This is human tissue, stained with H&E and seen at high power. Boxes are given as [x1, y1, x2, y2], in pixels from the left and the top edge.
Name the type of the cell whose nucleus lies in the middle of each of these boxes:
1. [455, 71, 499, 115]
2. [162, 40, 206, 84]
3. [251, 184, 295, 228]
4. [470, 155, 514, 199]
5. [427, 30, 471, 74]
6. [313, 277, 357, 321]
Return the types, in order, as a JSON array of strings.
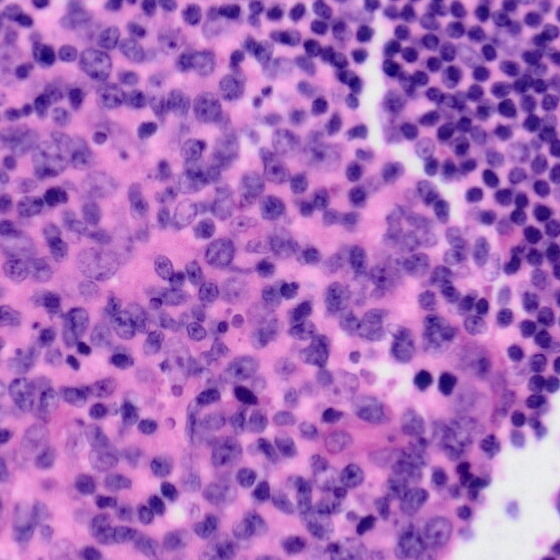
["small lymphocyte", "proliferating B cell", "proliferating B cell", "small lymphocyte", "small lymphocyte", "proliferating B cell"]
